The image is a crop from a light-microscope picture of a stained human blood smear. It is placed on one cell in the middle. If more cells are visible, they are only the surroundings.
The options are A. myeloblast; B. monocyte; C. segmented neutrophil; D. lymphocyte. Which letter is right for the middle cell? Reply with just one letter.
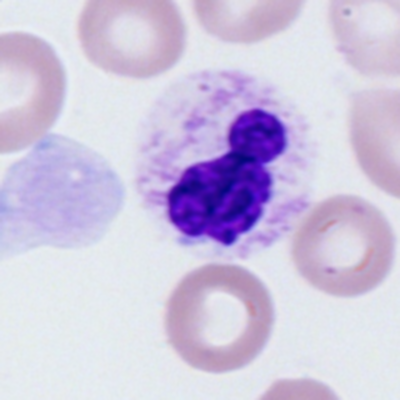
C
